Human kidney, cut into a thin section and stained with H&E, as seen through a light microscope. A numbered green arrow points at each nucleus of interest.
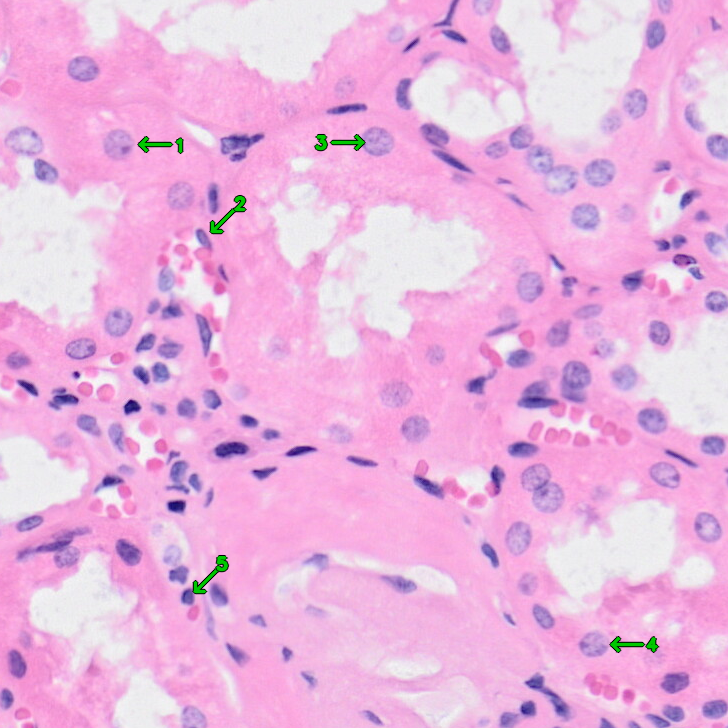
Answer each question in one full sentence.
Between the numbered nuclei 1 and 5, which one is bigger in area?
Nucleus 1 covers more area, about 4 times as much as nucleus 5.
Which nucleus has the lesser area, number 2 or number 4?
Nucleus 2 covers less area, with nucleus 4 about 2.5 times as large.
